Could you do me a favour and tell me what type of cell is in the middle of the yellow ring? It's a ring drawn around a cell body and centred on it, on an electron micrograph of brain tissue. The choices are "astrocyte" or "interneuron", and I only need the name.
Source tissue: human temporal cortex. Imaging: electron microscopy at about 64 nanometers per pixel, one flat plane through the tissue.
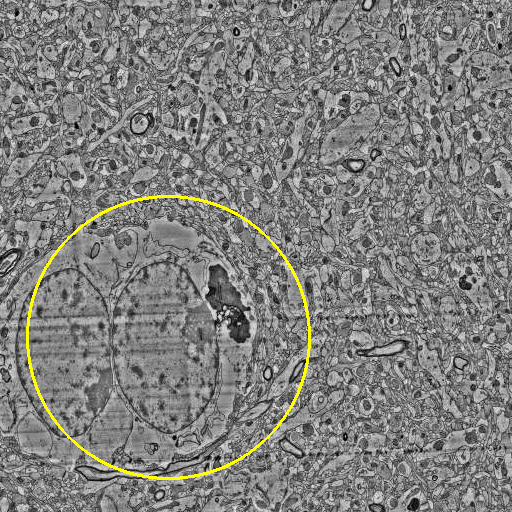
astrocyte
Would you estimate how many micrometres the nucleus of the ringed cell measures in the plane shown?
In this plane, approximately 11 by 7 micrometers.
